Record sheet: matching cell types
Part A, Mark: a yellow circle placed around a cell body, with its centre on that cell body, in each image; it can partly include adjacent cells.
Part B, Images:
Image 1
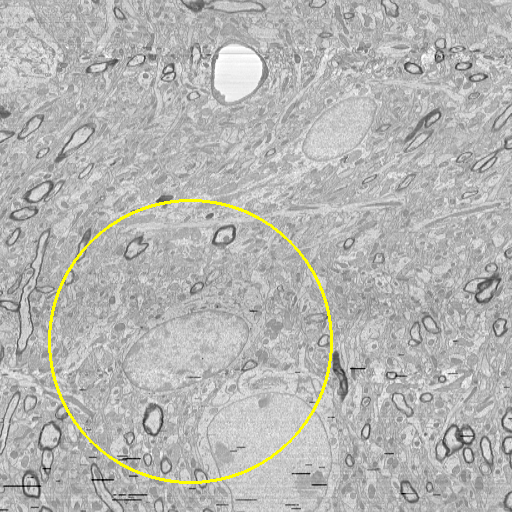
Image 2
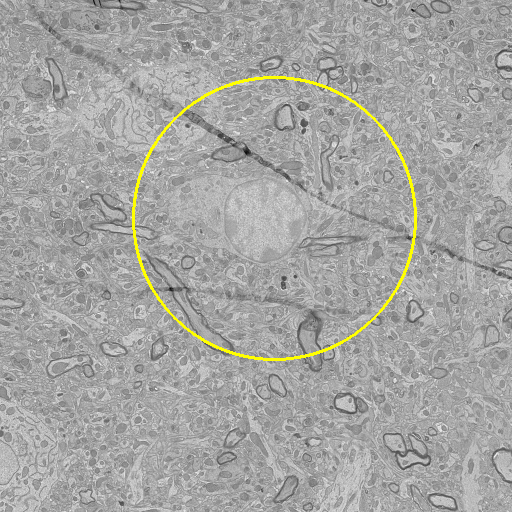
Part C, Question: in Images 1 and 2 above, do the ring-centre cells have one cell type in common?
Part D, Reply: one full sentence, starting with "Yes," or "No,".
Yes, the ring-centre cells of Image 1 and Image 2 are both of a single cell type.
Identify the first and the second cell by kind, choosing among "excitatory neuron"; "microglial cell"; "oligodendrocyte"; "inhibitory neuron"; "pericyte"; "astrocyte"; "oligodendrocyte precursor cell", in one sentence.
Both the first and the second picture show an oligodendrocyte in the ring.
